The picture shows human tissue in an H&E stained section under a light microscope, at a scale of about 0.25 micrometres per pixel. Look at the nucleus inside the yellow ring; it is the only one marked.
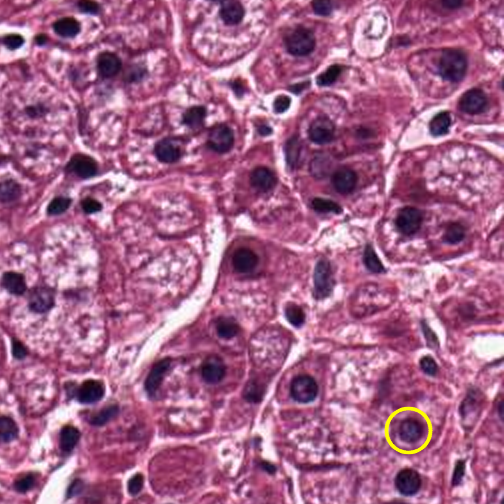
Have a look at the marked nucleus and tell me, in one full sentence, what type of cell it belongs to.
Indicated by the mark is a nucleus that belongs to an adrenal cortical cell.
